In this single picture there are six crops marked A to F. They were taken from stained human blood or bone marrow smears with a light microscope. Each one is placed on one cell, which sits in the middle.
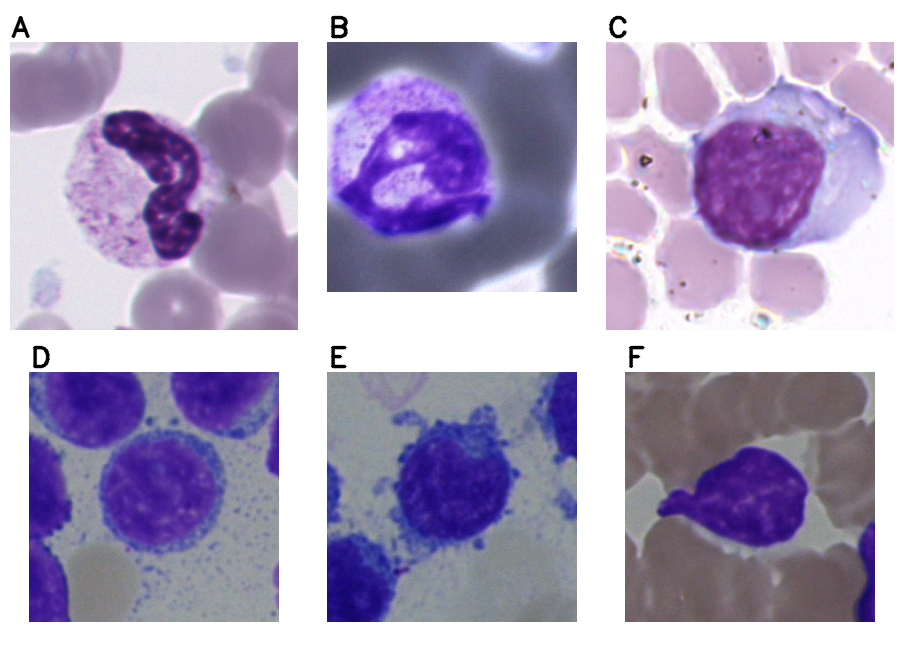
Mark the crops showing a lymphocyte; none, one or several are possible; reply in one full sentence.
So, to put it simply, crops D, E and F show lymphocytes.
